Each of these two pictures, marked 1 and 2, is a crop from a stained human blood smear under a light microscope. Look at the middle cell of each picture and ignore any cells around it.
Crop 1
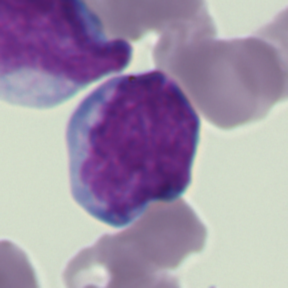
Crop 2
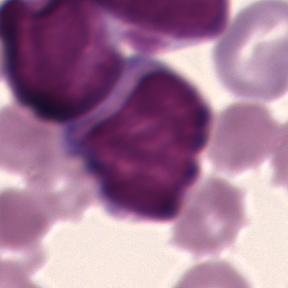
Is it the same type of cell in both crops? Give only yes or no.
yes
